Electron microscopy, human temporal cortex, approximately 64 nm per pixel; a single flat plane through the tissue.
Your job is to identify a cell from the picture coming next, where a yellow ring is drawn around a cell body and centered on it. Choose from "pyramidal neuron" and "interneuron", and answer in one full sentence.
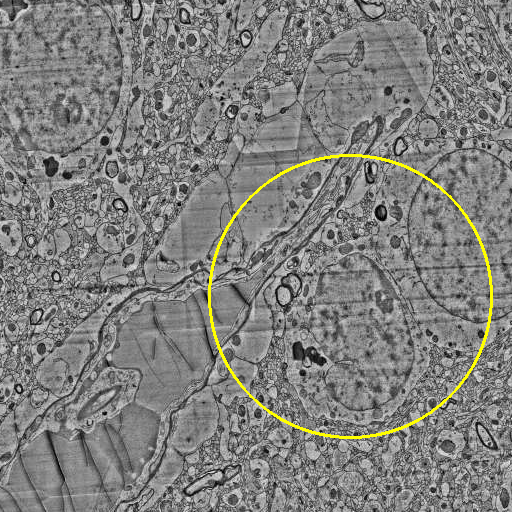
Centered in the yellow ring of the picture is the body of an interneuron.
